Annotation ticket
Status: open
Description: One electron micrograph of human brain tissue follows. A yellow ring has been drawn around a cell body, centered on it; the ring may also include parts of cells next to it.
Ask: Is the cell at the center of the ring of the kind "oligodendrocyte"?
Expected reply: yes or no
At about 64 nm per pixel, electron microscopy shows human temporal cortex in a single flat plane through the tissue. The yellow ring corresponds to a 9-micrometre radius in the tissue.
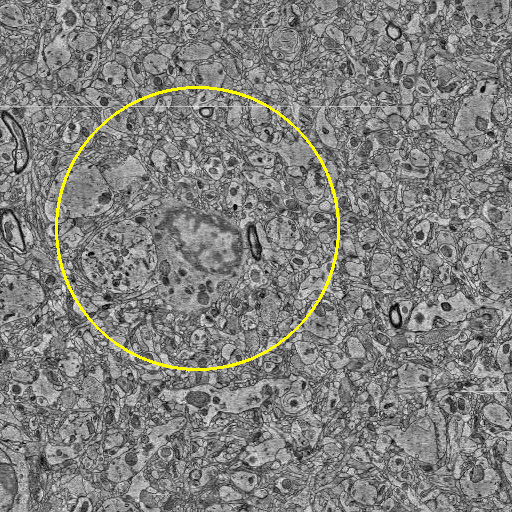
yes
